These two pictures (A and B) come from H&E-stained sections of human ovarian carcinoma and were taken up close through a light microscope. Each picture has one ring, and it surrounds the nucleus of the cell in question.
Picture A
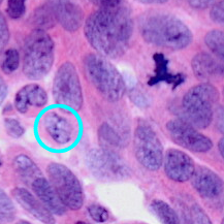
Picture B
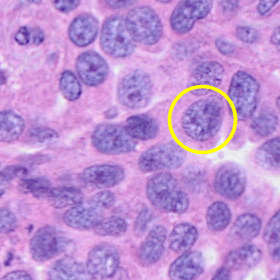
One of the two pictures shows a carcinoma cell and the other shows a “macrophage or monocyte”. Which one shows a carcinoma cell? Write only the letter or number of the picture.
B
